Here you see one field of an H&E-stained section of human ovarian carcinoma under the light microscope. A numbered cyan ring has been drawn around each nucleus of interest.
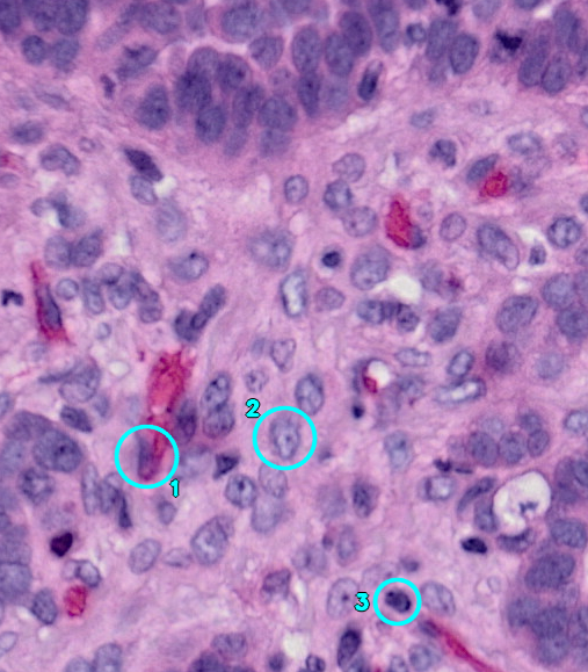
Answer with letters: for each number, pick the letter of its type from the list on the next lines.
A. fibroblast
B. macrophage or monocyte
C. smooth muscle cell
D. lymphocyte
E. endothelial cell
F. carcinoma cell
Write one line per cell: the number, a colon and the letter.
1: E
2: A
3: D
